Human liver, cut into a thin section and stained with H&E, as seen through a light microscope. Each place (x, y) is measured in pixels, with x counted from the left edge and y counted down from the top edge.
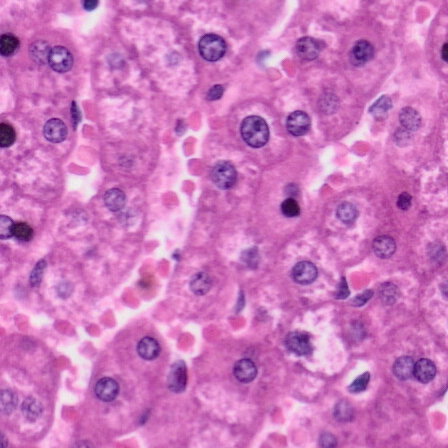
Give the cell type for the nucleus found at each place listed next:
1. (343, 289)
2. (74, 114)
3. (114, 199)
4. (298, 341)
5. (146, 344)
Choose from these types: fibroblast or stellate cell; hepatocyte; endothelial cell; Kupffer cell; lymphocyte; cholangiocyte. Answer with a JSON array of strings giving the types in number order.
["endothelial cell", "endothelial cell", "hepatocyte", "hepatocyte", "hepatocyte"]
